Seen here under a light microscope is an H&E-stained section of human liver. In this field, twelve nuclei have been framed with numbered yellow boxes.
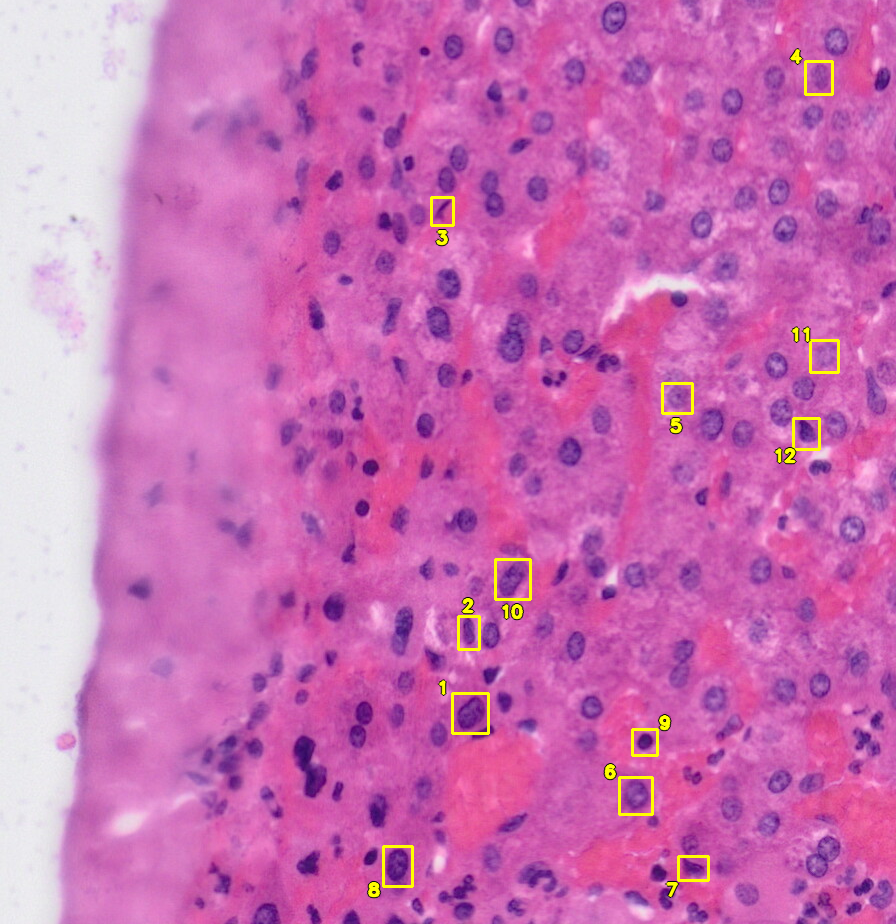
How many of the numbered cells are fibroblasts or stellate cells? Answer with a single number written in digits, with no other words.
3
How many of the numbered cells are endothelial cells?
1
